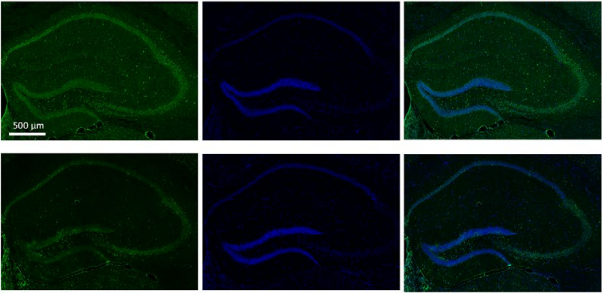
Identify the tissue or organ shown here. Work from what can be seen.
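Hippocampus. A curved C-shaped band of densely packed blue nuclei runs through each section. A V-shaped band of packed blue nuclei sits inside the curve of the C-shaped band. The same layered arrangement appears in all six images.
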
